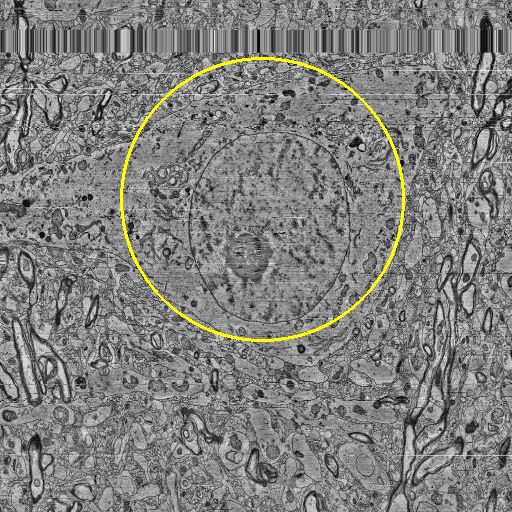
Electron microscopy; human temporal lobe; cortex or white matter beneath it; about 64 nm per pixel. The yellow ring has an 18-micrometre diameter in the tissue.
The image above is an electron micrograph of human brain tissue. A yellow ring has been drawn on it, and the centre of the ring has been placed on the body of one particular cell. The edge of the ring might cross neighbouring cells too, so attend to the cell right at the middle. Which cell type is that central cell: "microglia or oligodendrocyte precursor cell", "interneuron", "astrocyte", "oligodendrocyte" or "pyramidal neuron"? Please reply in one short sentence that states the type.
The central cell in the ring is a pyramidal neuron.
